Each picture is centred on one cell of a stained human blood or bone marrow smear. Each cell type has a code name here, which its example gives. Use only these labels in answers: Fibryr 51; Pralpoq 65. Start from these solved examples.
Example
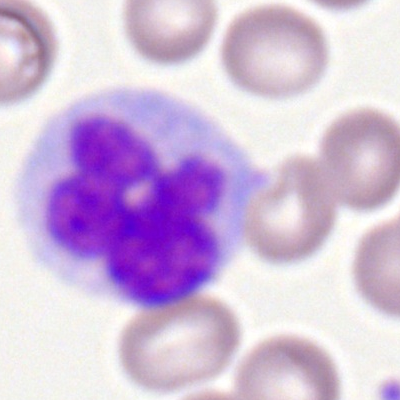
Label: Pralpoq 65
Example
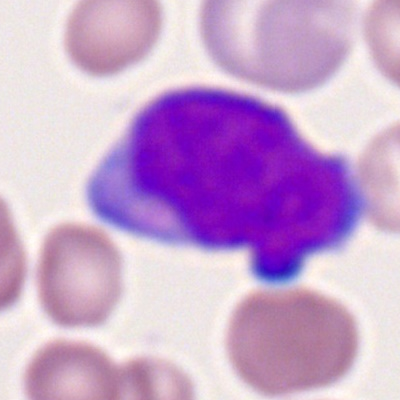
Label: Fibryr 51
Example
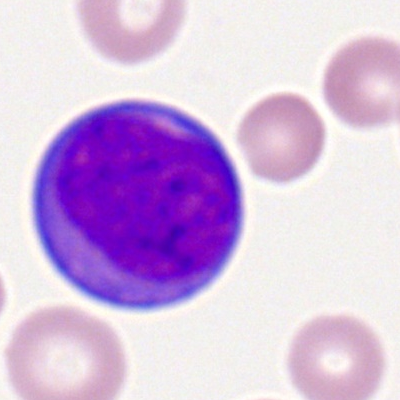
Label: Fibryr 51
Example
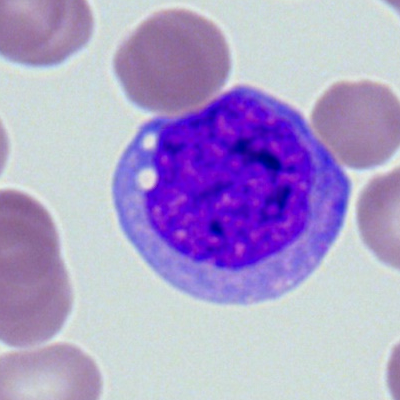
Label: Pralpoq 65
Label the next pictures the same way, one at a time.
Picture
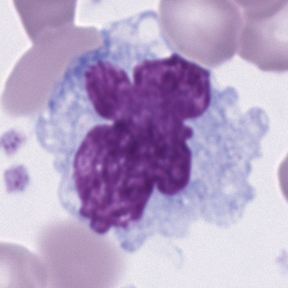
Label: Pralpoq 65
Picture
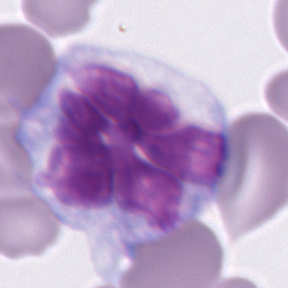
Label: Pralpoq 65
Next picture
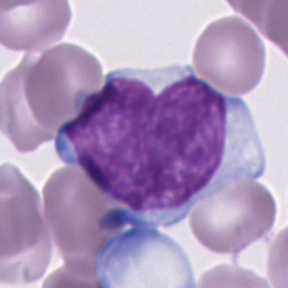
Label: Fibryr 51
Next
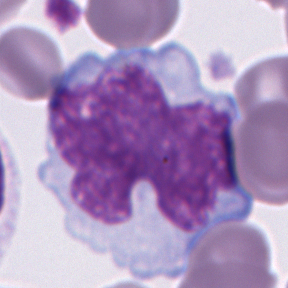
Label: Pralpoq 65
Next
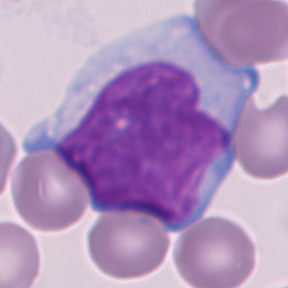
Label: Fibryr 51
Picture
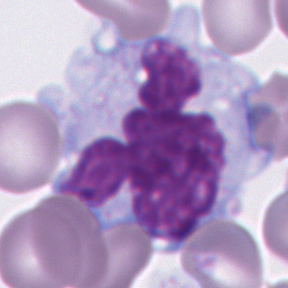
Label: Pralpoq 65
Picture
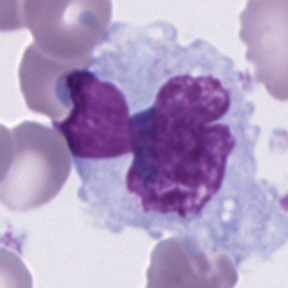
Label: Pralpoq 65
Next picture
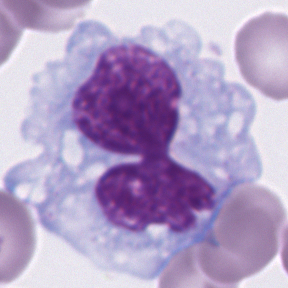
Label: Pralpoq 65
